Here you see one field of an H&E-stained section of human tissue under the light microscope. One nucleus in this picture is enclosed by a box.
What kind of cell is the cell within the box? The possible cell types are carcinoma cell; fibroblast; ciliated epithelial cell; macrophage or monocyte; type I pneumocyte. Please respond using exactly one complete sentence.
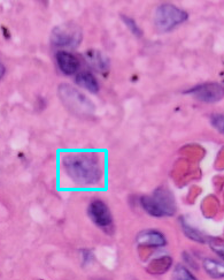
In the context of this tissue, the cell within the box is a fibroblast.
